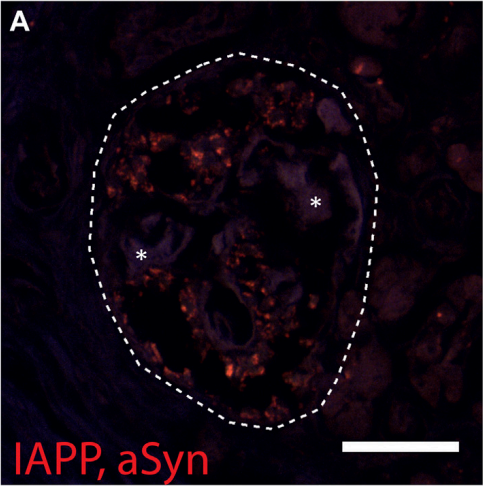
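This is a pancreatic islet, outlined by a dashed line against the surrounding exocrine tissue. Inside the islet, many small red dots cluster over the cell bodies, scattered in groups through the cluster. Several areas within the islet are free of red dots; two of them, marked by asterisks, are pale purplish amorphous patches lying between the dotted cells. Outside the outline the tissue shows only faint background, with very few dots.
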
